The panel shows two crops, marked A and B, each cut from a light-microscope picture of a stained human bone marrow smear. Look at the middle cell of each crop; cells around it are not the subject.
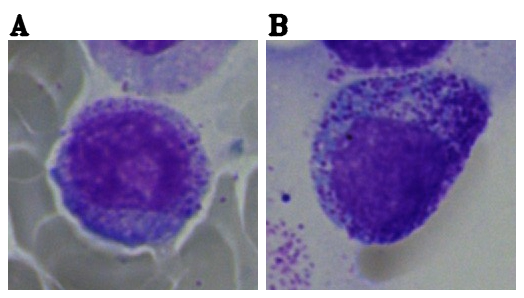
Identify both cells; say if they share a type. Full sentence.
Yes, that is right, both crops show myelocytes.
